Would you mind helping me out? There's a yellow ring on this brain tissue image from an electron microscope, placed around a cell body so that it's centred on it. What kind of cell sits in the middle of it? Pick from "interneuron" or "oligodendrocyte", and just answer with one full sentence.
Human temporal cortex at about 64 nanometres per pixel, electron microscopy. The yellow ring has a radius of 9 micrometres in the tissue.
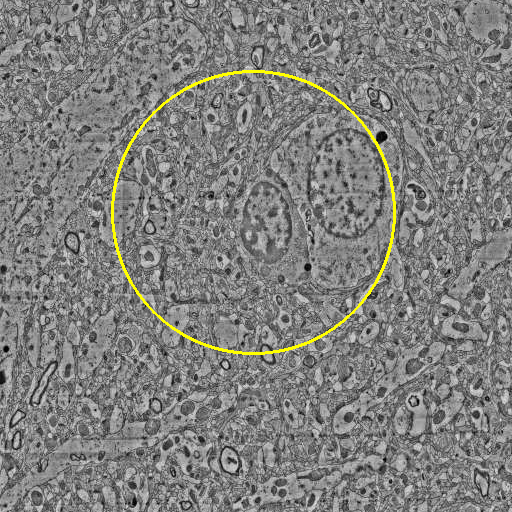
What sits in the middle of that yellow ring is an oligodendrocyte, from your choices.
